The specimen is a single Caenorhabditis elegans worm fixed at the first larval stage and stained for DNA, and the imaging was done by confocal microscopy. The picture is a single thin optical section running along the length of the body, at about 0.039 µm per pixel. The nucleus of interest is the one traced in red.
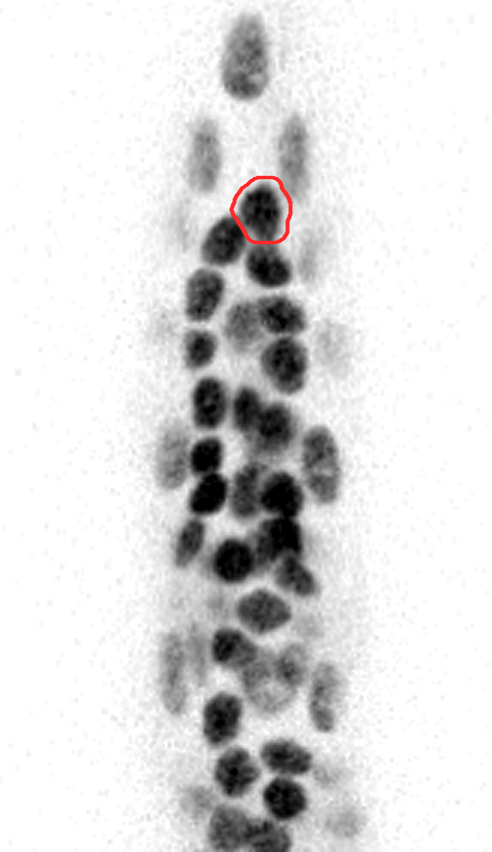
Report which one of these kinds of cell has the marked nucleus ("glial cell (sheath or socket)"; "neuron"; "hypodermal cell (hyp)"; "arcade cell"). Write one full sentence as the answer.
This is the nucleus of an arcade cell.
